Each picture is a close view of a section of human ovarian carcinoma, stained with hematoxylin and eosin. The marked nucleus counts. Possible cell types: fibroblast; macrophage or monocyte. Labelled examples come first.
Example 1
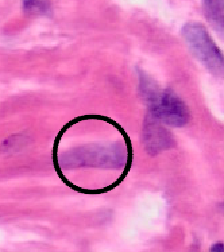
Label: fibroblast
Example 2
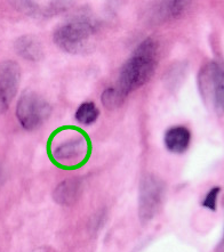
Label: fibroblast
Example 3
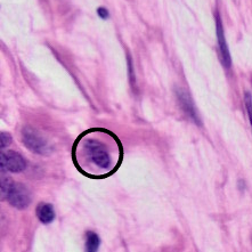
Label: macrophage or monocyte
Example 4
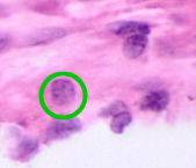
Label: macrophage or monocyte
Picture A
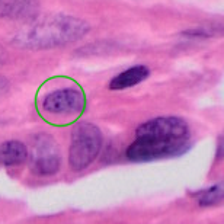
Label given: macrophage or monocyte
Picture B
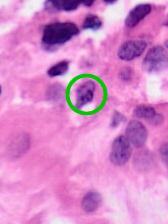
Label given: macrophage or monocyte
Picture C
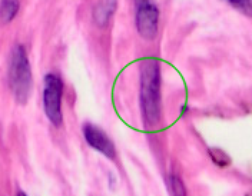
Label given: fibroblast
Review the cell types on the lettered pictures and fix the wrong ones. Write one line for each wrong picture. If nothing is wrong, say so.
All correct.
